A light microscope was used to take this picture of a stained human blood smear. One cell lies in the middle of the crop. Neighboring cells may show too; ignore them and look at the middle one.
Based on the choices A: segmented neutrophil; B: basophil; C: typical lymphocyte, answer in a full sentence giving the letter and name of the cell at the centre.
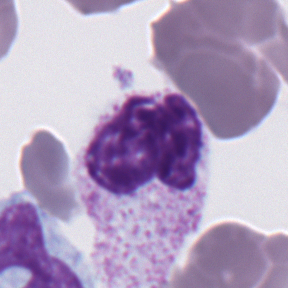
Here the right option is A, as the cell in the middle is a segmented neutrophil.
